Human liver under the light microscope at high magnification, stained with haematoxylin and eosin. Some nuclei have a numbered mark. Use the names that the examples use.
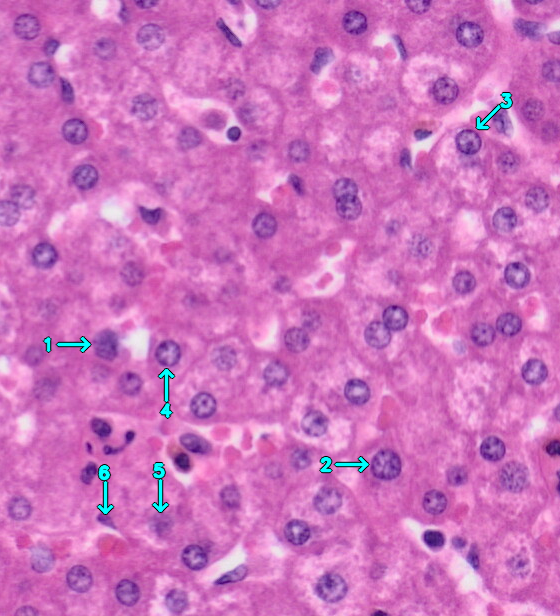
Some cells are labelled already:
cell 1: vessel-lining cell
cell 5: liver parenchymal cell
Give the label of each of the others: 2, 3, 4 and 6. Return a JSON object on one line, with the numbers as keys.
{"2": "liver parenchymal cell", "3": "liver parenchymal cell", "4": "liver parenchymal cell", "6": "vessel-lining cell"}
